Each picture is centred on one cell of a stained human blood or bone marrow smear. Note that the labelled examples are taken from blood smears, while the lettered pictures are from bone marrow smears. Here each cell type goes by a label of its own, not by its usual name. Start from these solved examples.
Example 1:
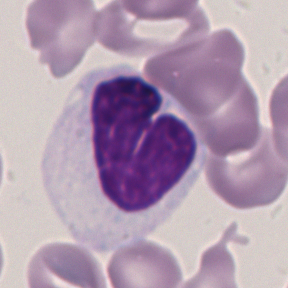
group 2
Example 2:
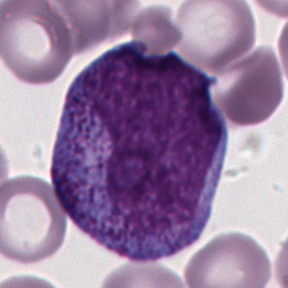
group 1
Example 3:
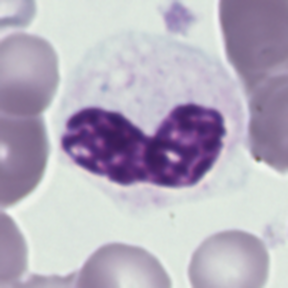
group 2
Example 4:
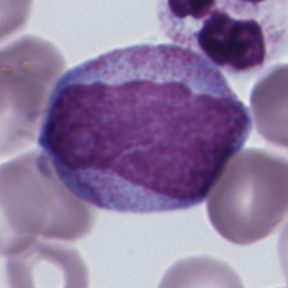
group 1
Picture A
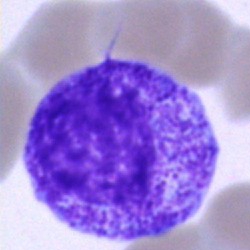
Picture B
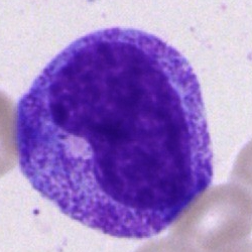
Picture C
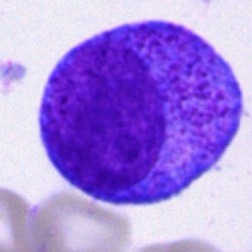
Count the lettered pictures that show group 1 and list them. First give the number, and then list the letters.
3: A, B, C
